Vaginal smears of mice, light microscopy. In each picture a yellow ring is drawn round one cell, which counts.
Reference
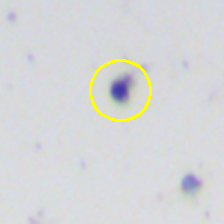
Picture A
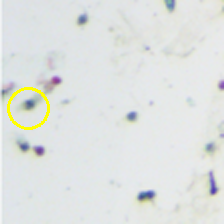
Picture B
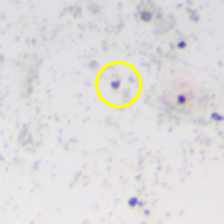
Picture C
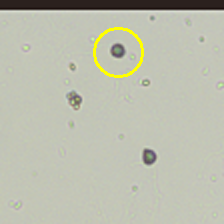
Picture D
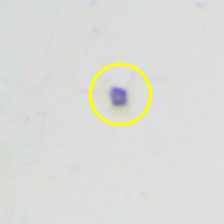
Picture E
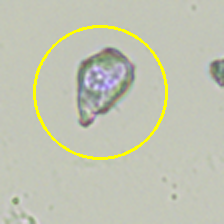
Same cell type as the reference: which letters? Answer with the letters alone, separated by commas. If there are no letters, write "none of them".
A, B, C, D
